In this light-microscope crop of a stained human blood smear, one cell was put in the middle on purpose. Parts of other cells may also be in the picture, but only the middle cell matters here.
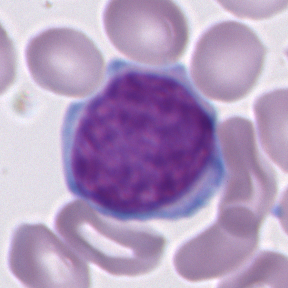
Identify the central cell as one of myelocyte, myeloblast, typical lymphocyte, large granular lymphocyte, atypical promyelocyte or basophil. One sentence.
This crop is built around a myeloblast at its centre.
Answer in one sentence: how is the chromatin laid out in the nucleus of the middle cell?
What stands out is chromatin that is coarsely clumped.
